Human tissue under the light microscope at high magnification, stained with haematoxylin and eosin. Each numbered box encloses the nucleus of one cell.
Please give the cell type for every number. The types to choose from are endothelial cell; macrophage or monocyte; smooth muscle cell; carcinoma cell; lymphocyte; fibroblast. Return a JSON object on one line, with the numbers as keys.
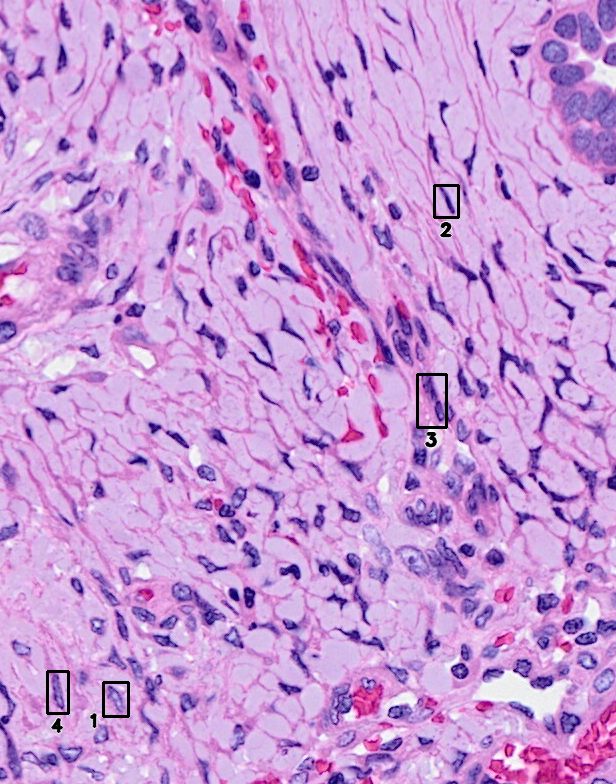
{"1": "fibroblast", "2": "fibroblast", "3": "endothelial cell", "4": "fibroblast"}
